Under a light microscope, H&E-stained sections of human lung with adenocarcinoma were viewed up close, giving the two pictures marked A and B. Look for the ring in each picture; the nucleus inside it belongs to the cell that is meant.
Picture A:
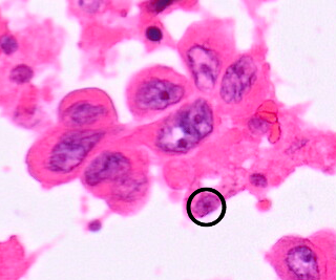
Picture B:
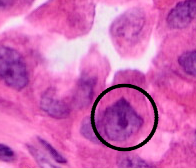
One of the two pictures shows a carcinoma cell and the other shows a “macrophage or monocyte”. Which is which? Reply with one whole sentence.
In picture A the cell is a “macrophage or monocyte”; in picture B, a carcinoma cell.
